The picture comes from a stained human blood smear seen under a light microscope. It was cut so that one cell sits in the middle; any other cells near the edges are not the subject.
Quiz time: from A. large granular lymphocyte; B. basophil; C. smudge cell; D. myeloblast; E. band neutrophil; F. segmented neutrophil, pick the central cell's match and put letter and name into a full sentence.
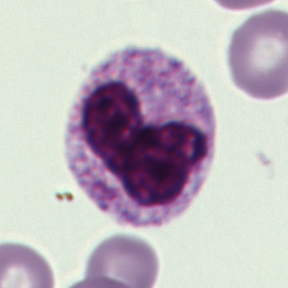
The cell positioned centrally is a segmented neutrophil, as given in option F, which is correct.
